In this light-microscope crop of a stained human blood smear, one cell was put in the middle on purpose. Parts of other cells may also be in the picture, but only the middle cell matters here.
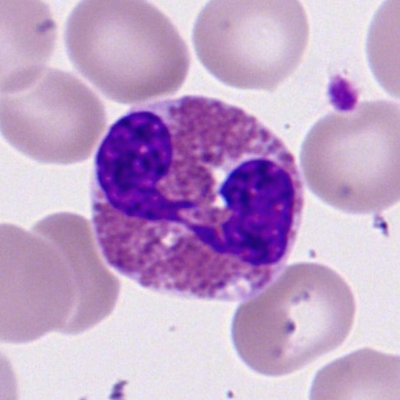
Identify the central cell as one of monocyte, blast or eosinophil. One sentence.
Looking at the middle of the crop, the cell there is an eosinophil.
